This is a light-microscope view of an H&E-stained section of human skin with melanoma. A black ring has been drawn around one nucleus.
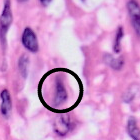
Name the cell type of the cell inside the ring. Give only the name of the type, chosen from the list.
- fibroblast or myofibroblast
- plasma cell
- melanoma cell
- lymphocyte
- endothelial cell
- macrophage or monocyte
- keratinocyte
macrophage or monocyte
